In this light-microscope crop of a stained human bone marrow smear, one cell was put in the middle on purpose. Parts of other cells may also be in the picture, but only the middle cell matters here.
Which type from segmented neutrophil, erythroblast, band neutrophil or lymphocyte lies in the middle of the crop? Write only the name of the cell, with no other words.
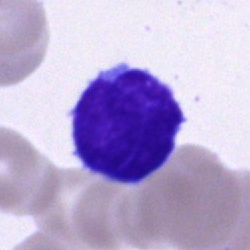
lymphocyte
